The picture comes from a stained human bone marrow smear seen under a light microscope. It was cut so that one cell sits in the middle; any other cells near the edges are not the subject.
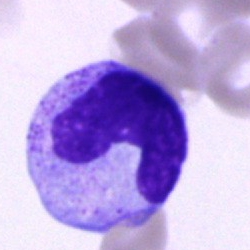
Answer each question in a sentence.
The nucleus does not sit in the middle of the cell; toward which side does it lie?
Seen from the middle of the cell, the nucleus lies toward the upper right.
